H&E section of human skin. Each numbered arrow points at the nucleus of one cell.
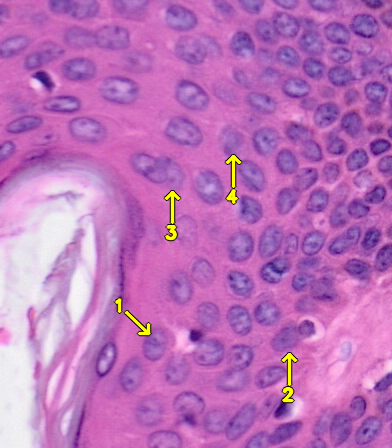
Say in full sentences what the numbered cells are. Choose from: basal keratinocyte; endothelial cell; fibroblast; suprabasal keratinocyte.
Cell 1 is a suprabasal keratinocyte, cell 2 is a basal keratinocyte, cell 3 is a suprabasal keratinocyte and cell 4 is a suprabasal keratinocyte.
